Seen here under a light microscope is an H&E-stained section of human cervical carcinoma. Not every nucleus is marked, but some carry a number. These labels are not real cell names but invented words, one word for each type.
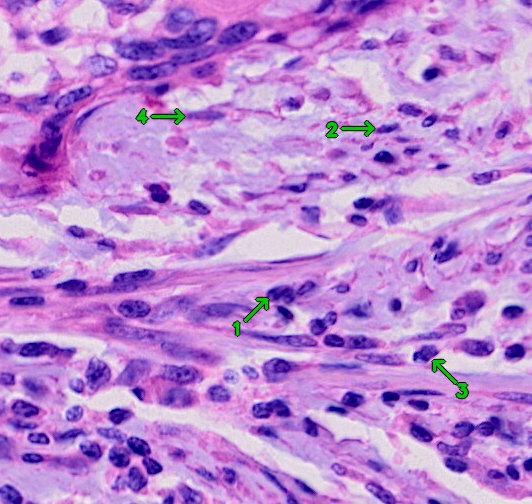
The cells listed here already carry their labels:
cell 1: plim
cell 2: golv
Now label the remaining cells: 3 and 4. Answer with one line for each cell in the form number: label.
3: plim
4: golv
